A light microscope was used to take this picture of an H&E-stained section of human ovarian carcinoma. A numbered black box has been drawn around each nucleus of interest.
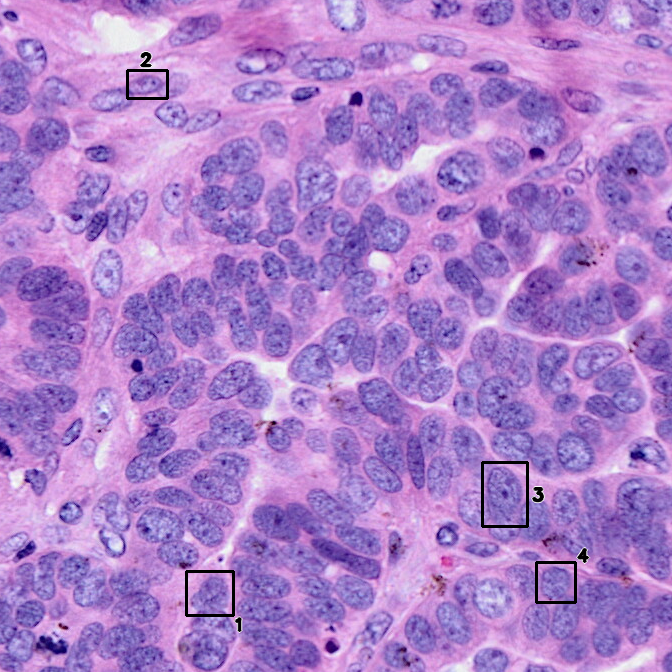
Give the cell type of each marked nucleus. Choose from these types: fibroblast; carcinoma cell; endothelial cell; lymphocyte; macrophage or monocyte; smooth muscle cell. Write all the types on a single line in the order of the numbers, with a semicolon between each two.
carcinoma cell; fibroblast; carcinoma cell; carcinoma cell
